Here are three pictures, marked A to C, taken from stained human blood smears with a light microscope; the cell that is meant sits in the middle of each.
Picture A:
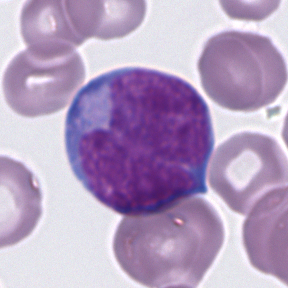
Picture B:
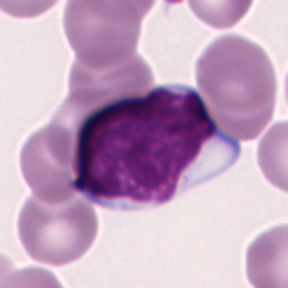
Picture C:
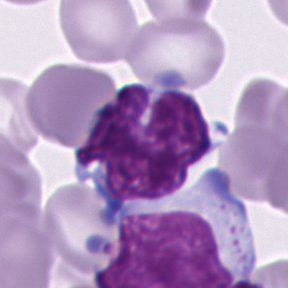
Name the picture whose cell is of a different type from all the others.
A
